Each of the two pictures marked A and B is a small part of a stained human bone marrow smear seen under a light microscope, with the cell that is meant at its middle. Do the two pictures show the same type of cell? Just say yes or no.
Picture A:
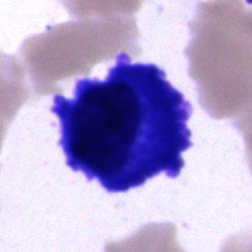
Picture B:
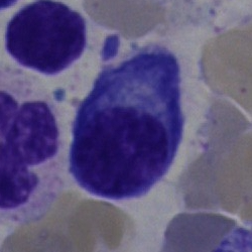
yes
